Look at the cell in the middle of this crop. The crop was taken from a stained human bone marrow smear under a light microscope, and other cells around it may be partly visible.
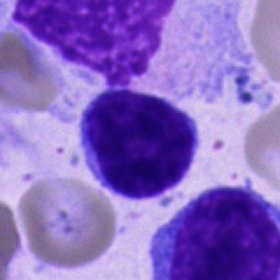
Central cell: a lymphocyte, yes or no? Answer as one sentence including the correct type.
Yes, the cell centred in this crop is a lymphocyte.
